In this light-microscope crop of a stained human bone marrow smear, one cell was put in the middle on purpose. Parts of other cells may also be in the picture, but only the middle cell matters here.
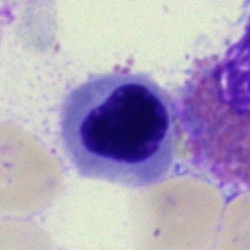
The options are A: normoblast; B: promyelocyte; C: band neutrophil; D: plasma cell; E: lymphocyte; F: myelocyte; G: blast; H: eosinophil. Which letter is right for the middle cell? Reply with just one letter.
A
